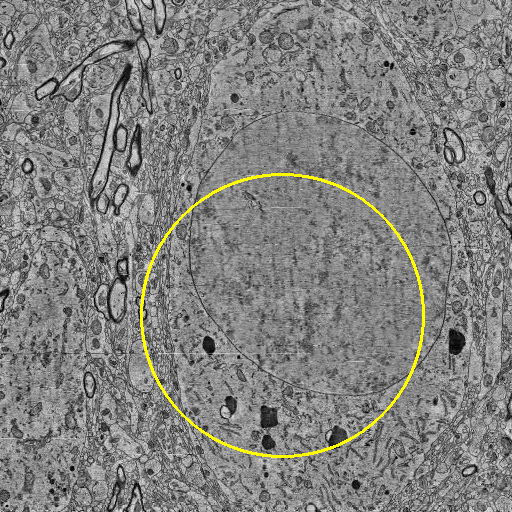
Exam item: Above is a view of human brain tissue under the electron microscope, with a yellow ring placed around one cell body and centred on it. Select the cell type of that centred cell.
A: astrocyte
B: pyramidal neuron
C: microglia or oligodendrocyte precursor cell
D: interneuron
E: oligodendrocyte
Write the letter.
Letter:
B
